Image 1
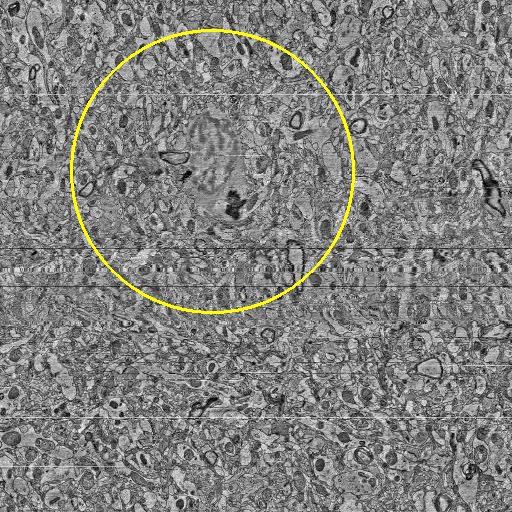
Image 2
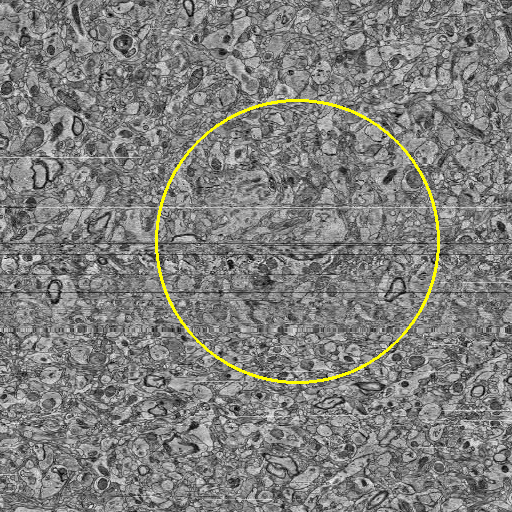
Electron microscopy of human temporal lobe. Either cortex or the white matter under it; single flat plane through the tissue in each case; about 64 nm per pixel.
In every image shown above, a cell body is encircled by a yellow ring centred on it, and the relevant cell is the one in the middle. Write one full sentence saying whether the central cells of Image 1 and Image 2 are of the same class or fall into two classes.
The cell at the ring's centre in Image 1 and its counterpart in Image 2 fall into two classes.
